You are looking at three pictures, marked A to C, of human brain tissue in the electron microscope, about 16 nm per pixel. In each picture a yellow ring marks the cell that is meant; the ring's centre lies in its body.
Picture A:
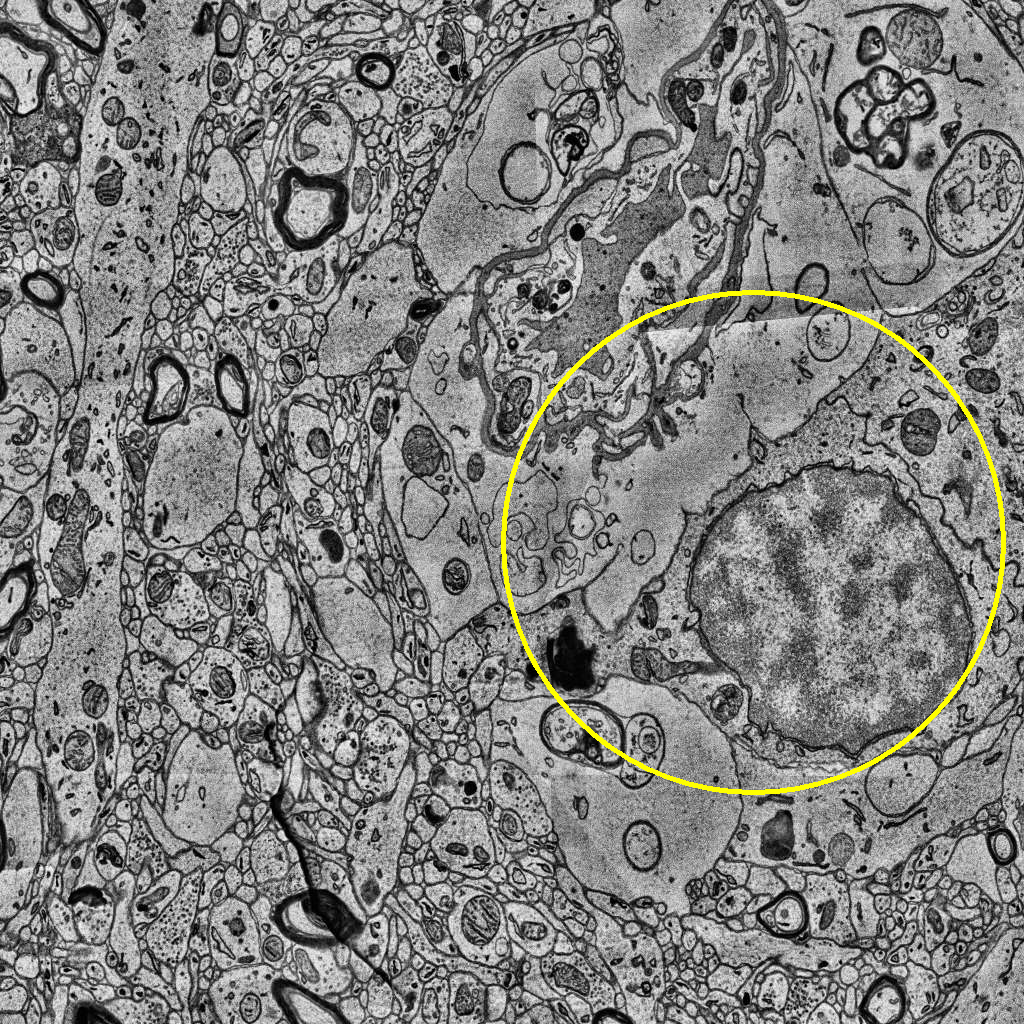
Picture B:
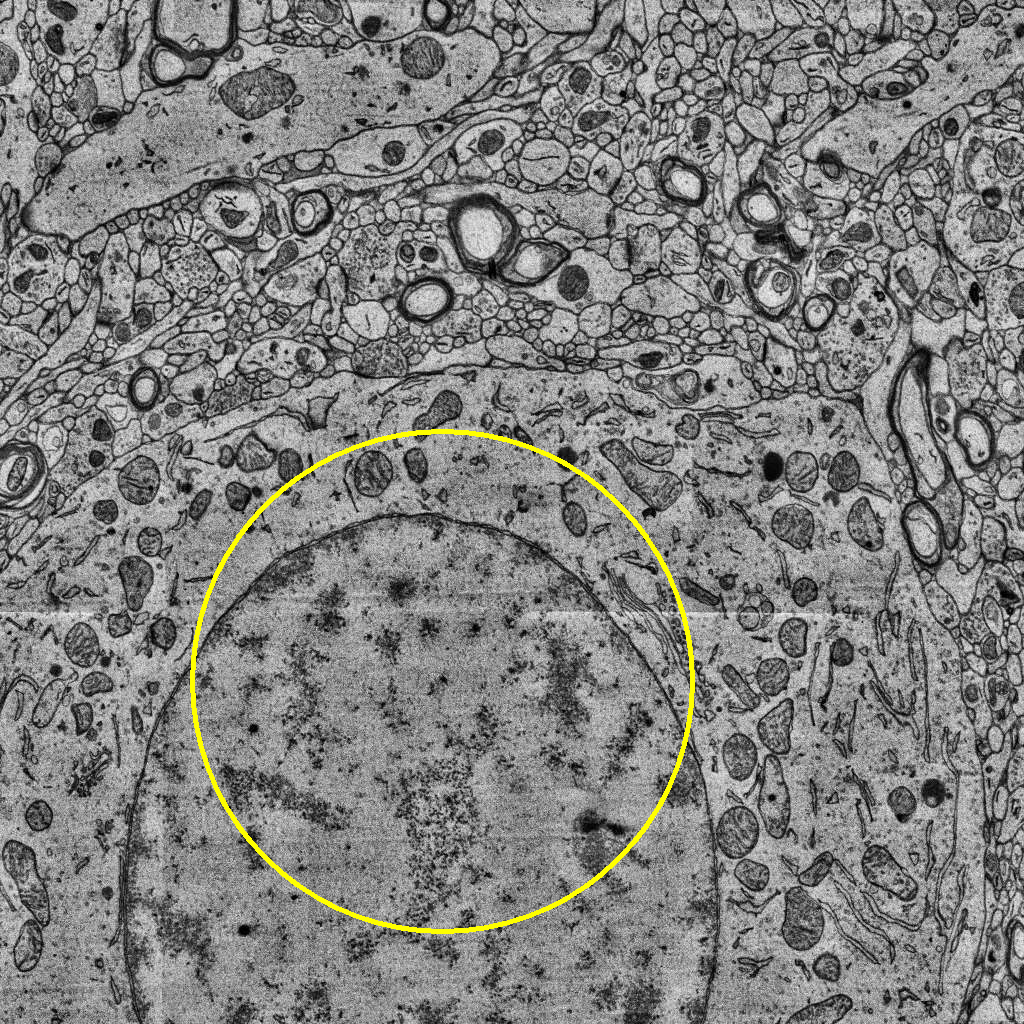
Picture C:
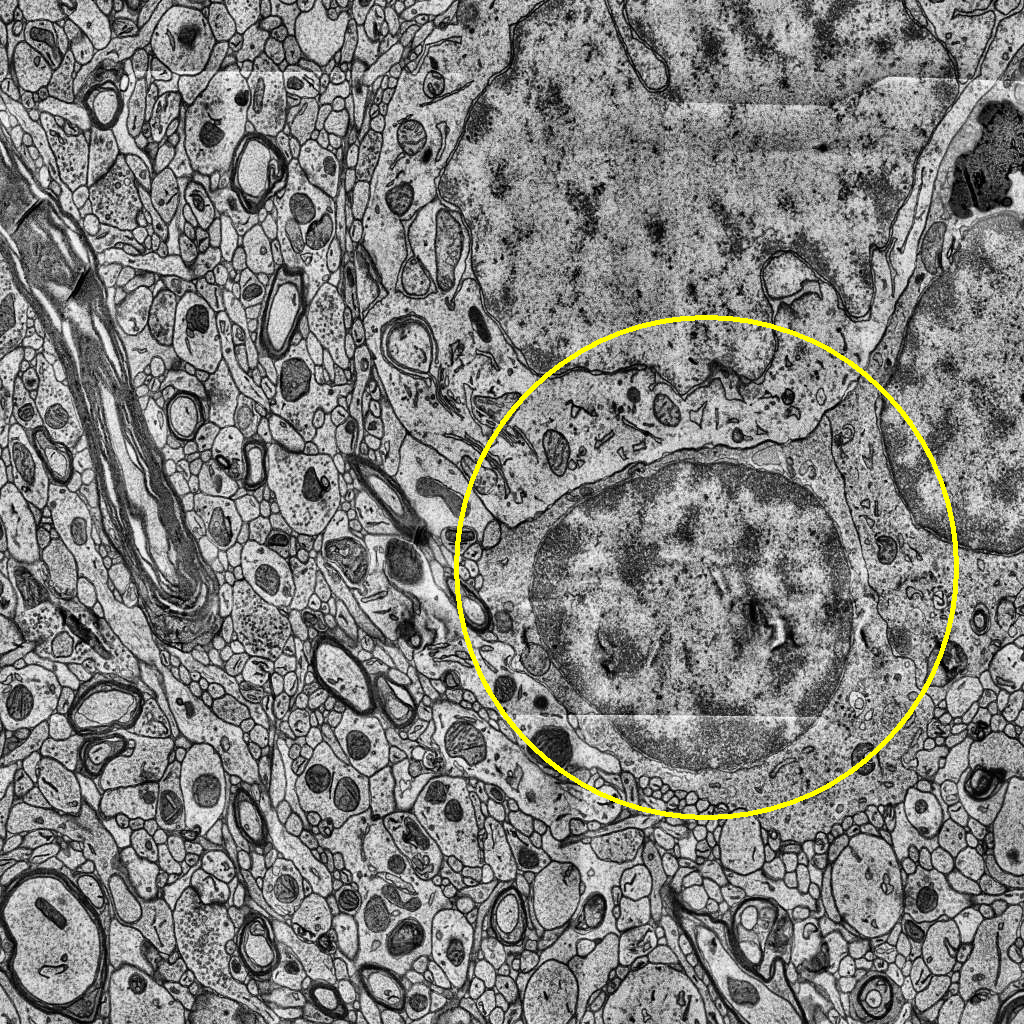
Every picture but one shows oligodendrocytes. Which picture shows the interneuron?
The cell in picture B is the interneuron.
